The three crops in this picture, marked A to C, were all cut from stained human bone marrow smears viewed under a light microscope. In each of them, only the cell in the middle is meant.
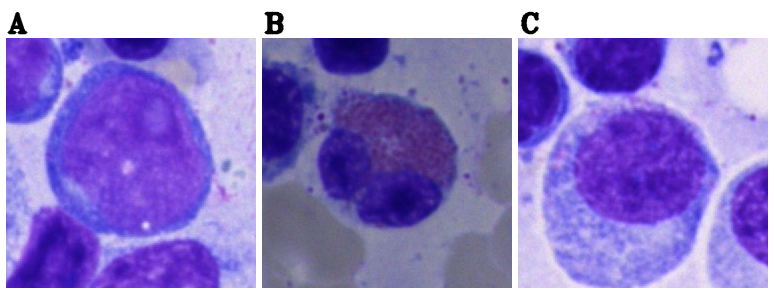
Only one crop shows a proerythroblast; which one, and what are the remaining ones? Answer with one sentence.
The middle of crop A is occupied by a proerythroblast, while crop B is an eosinophil and crop C is a promyelocyte.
